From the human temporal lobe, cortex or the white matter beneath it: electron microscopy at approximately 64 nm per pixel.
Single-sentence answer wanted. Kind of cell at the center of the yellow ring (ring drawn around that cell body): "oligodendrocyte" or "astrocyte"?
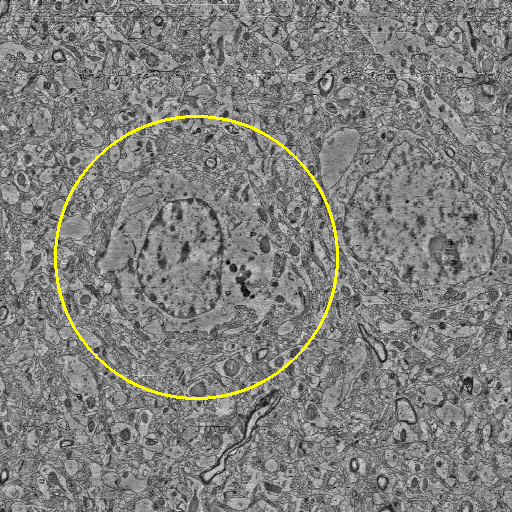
The cell centered in the ring is an astrocyte.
